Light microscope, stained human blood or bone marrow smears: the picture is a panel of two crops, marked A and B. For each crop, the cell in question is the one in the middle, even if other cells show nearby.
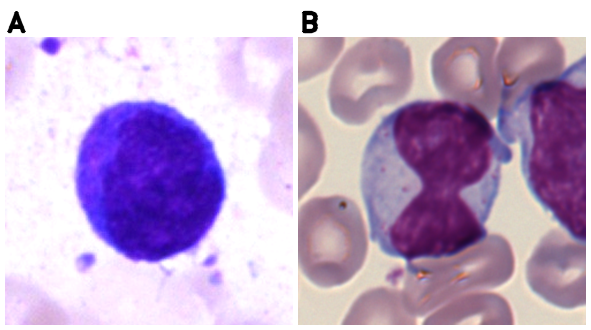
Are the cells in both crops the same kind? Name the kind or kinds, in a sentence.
Yes, it is blasts that occupy the middle of both crops.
